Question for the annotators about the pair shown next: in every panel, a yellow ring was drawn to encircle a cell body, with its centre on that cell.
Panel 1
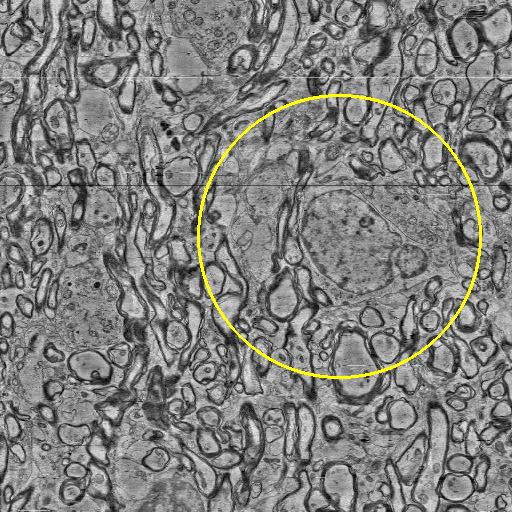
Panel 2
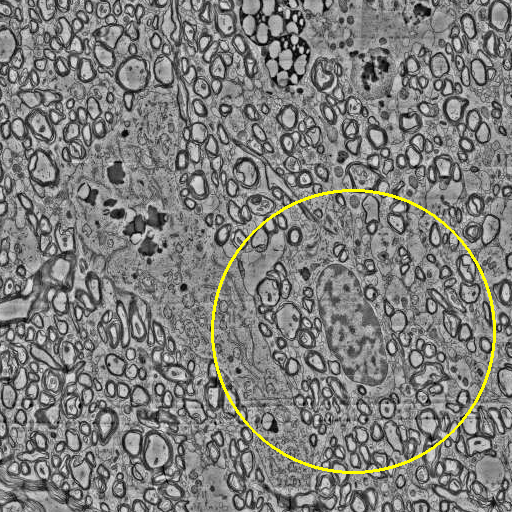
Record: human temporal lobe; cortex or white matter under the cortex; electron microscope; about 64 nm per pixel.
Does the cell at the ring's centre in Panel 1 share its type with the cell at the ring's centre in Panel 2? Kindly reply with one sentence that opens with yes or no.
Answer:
Yes, in Panels 1 and 2 the cells at the ring centres belong to a single type.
